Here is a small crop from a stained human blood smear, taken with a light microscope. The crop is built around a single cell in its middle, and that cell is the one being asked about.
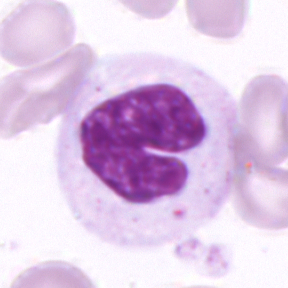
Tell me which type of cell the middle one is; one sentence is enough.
Present in the middle of the crop is a band neutrophil.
